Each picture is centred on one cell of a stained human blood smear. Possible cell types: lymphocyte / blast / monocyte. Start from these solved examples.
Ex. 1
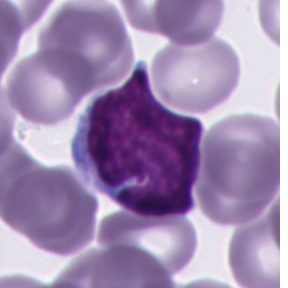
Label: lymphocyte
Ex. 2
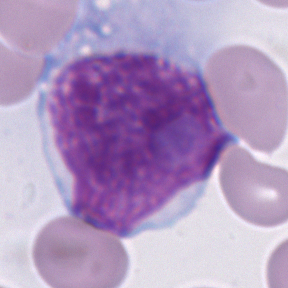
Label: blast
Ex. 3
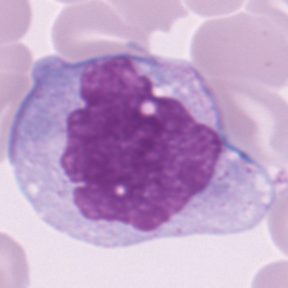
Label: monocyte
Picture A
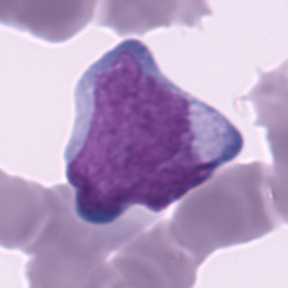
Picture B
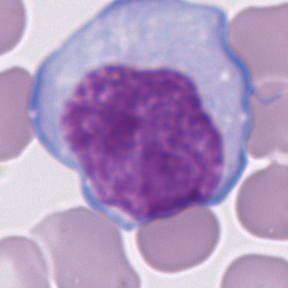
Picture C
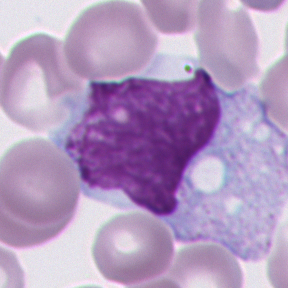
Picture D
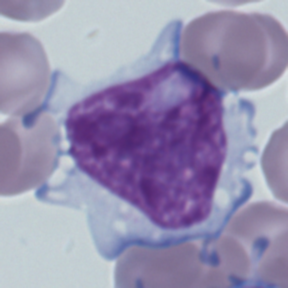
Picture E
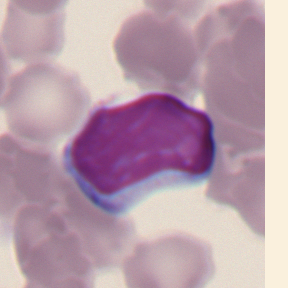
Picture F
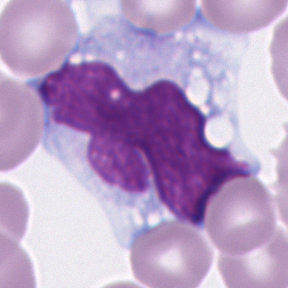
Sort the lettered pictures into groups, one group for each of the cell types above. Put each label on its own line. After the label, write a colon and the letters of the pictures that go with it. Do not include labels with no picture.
lymphocyte: E
blast: A, B, D
monocyte: C, F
